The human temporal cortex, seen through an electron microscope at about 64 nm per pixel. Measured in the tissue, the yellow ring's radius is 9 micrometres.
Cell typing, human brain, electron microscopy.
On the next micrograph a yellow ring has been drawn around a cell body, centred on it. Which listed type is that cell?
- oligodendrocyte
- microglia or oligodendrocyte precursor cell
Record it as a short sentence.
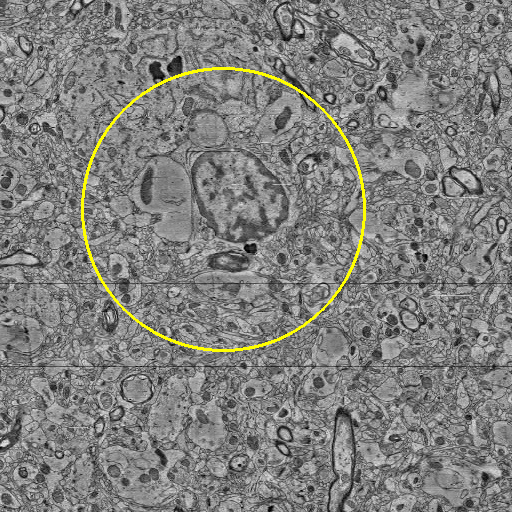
The cell body in the ring's centre belongs to a microglial cell or oligodendrocyte precursor cell.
